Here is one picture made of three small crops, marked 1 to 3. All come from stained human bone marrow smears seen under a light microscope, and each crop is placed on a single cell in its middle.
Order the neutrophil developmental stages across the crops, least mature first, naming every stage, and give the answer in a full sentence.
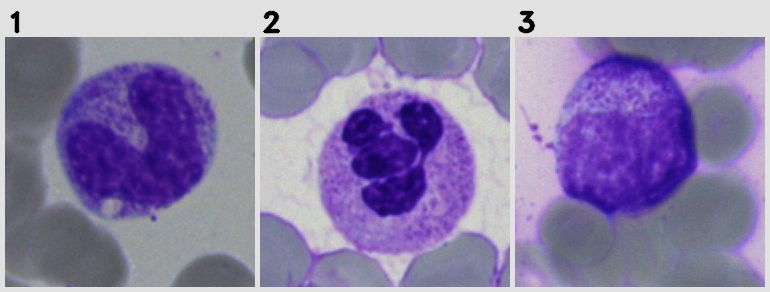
From the least mature to the most mature, the order reads crop 3 (a myelocyte), crop 1 (a band neutrophil) and crop 2 (a segmented neutrophil).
